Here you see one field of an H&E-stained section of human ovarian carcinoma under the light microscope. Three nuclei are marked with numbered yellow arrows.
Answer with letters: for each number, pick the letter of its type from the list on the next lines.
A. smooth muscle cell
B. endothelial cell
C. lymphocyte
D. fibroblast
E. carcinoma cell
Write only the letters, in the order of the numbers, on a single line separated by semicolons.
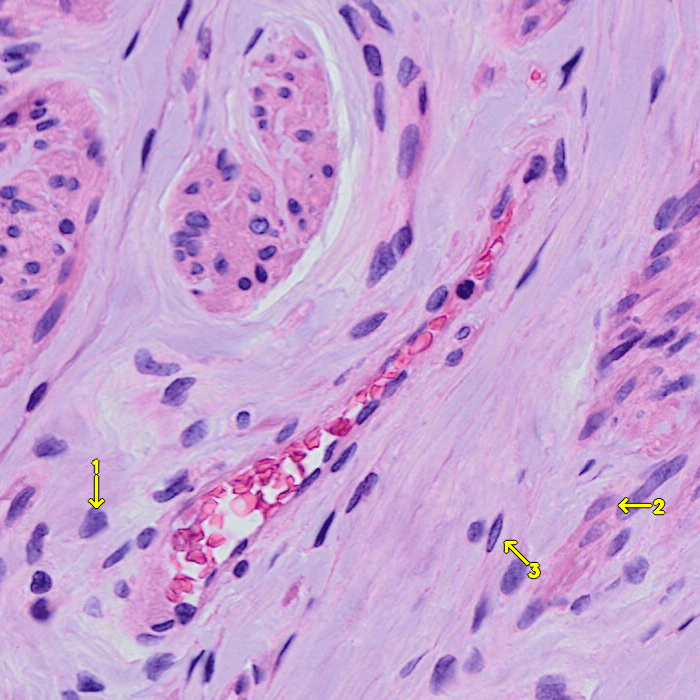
D; A; D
